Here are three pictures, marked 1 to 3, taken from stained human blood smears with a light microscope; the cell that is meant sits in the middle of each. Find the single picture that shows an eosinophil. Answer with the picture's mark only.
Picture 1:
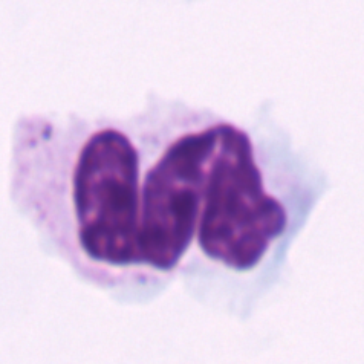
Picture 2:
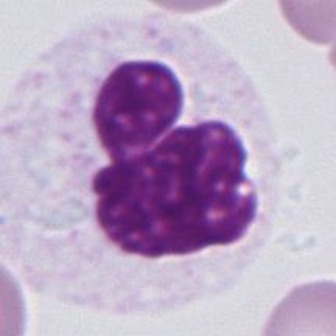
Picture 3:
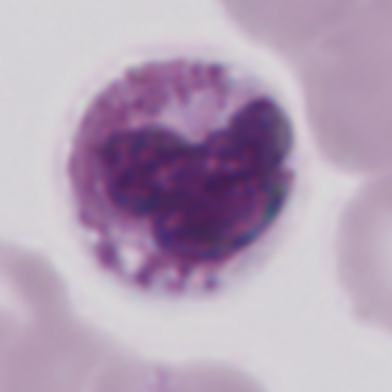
3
